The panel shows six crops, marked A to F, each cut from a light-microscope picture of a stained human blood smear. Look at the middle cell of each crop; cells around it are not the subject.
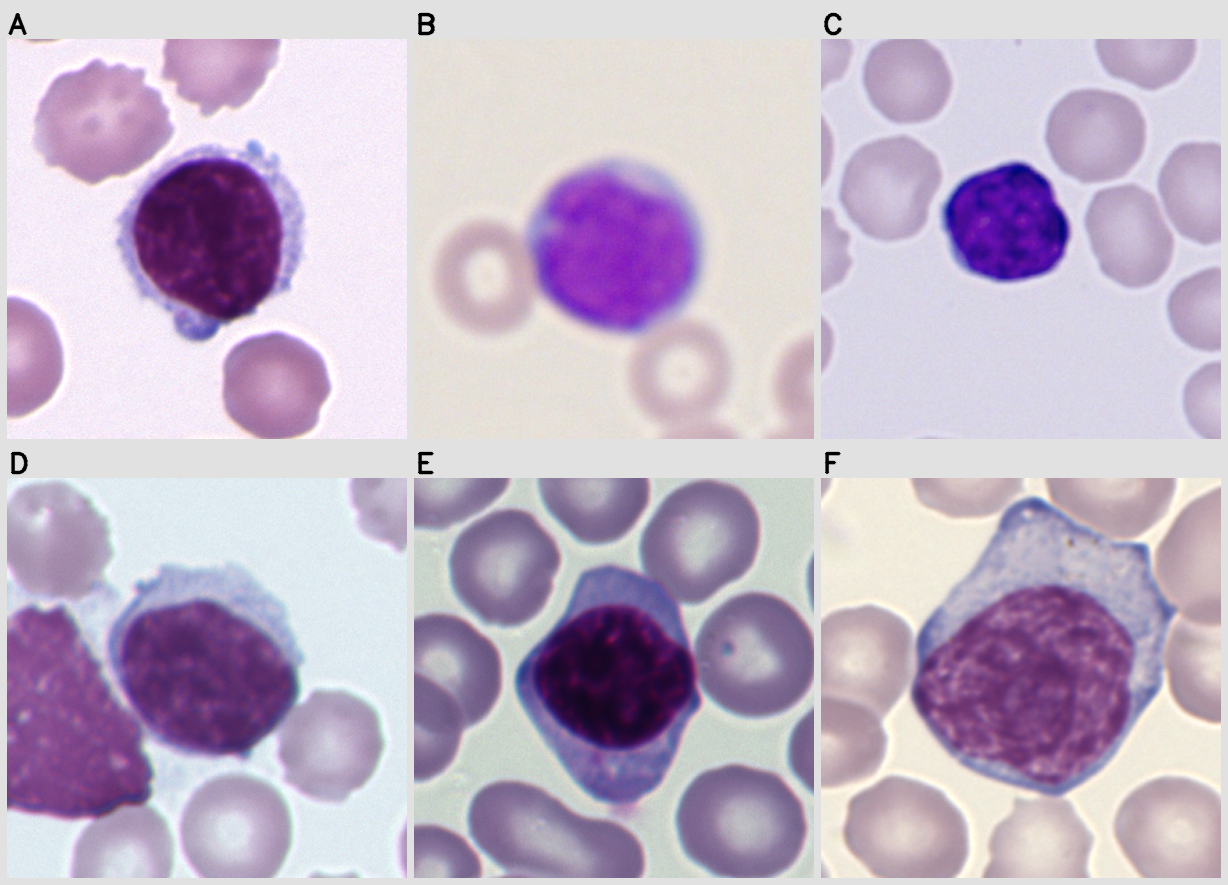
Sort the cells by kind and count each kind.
lymphocyte: 4
blast: 2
